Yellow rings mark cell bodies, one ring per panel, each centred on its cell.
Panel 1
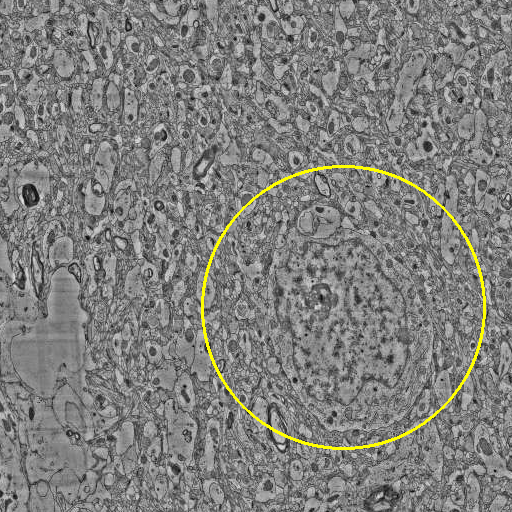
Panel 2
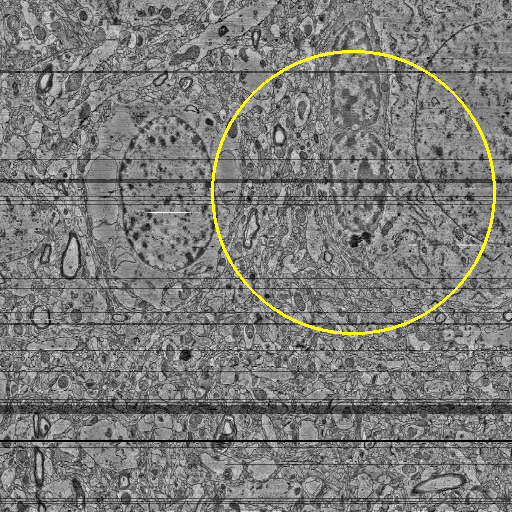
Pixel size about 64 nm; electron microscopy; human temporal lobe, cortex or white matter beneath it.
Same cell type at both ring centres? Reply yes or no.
no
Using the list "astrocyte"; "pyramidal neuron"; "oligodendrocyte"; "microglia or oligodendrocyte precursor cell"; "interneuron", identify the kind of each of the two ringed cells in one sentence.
The first is an interneuron and the second is an oligodendrocyte.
